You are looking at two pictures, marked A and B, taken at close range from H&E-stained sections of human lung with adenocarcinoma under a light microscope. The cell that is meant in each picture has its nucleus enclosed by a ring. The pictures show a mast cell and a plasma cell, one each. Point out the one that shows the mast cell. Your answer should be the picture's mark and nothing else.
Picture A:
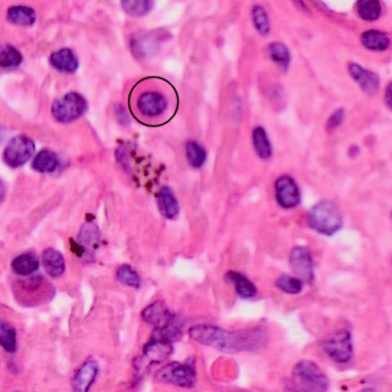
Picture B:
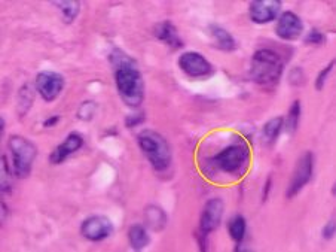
A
